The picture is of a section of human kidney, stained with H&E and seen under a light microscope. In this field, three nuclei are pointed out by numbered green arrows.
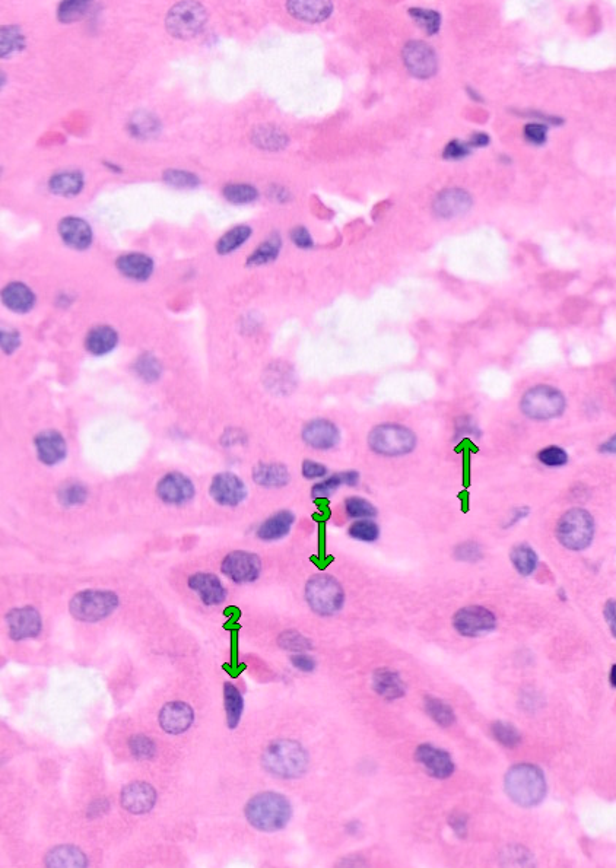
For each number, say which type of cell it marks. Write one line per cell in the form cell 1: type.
cell 1: proximal tubule cell
cell 2: endothelial cell
cell 3: proximal tubule cell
